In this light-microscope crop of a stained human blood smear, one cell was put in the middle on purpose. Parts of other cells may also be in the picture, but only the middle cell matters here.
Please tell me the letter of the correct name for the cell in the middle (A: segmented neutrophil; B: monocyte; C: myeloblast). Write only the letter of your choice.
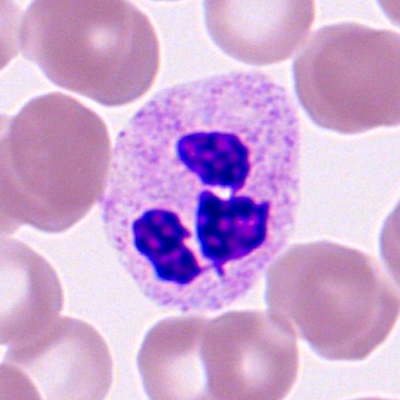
A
